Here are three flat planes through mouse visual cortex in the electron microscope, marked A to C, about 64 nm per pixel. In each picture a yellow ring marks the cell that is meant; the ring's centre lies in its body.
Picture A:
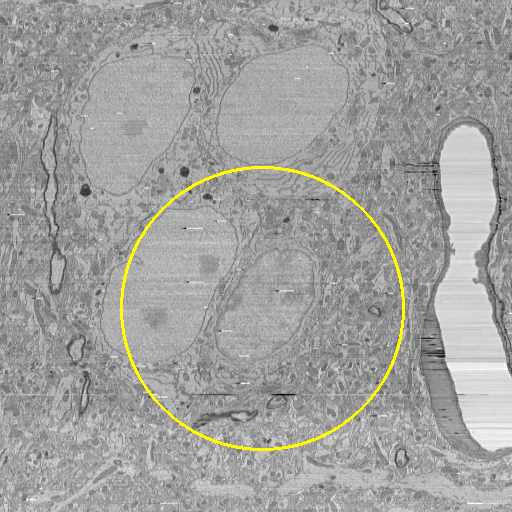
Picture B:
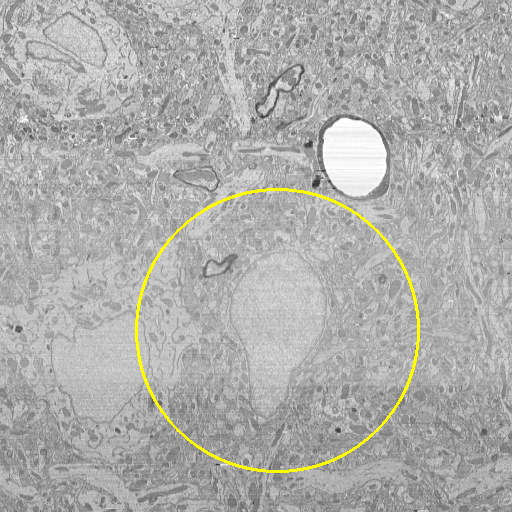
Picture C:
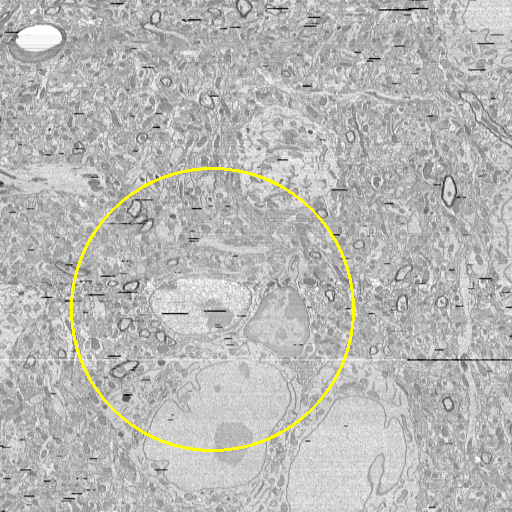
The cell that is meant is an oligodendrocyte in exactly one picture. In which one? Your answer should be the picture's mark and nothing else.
A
